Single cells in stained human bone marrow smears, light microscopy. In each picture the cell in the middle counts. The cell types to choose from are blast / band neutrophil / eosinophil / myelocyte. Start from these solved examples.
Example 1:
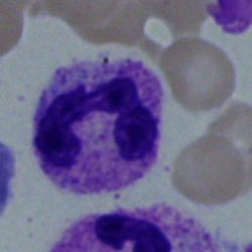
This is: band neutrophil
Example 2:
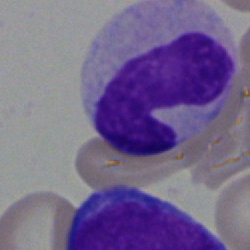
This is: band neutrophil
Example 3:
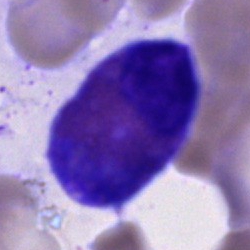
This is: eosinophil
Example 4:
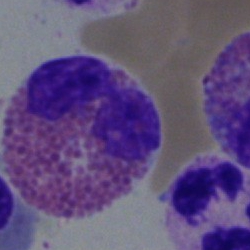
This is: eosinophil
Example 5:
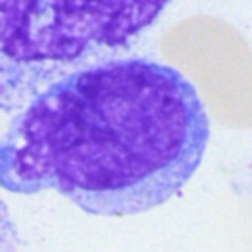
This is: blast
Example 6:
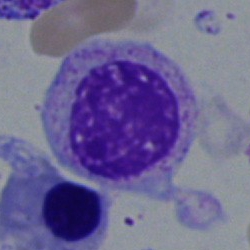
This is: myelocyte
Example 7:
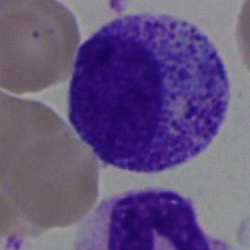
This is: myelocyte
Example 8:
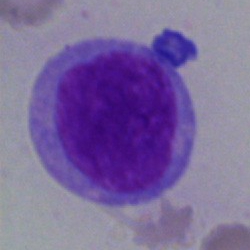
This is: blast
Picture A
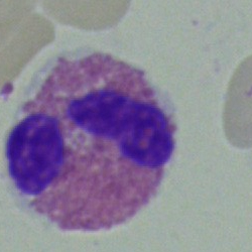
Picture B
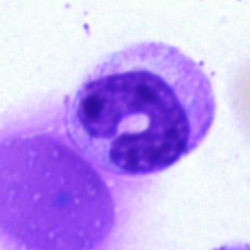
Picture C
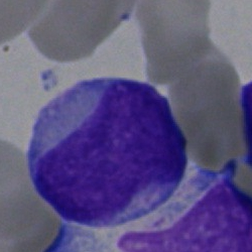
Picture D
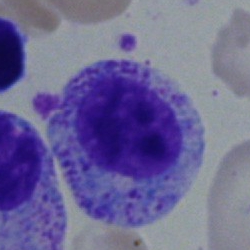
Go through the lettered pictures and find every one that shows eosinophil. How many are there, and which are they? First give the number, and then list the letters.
1: A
